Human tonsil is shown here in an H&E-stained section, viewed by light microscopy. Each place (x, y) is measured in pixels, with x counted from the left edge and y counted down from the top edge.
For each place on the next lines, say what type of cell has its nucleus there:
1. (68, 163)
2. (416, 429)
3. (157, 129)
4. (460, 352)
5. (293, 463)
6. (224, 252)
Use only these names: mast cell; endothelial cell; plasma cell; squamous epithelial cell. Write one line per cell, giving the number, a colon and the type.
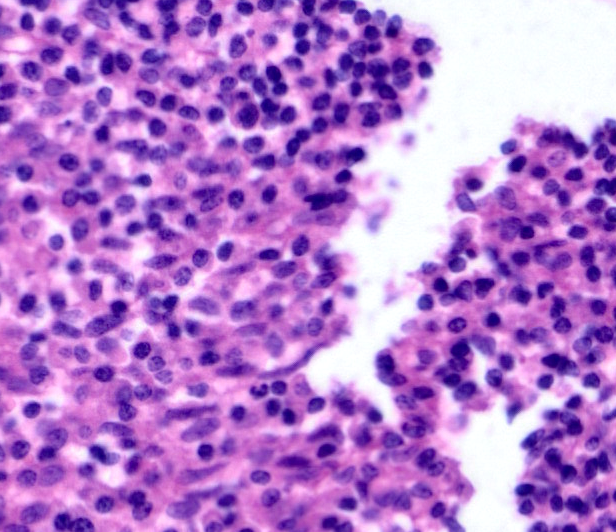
1: plasma cell
2: squamous epithelial cell
3: plasma cell
4: plasma cell
5: squamous epithelial cell
6: plasma cell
